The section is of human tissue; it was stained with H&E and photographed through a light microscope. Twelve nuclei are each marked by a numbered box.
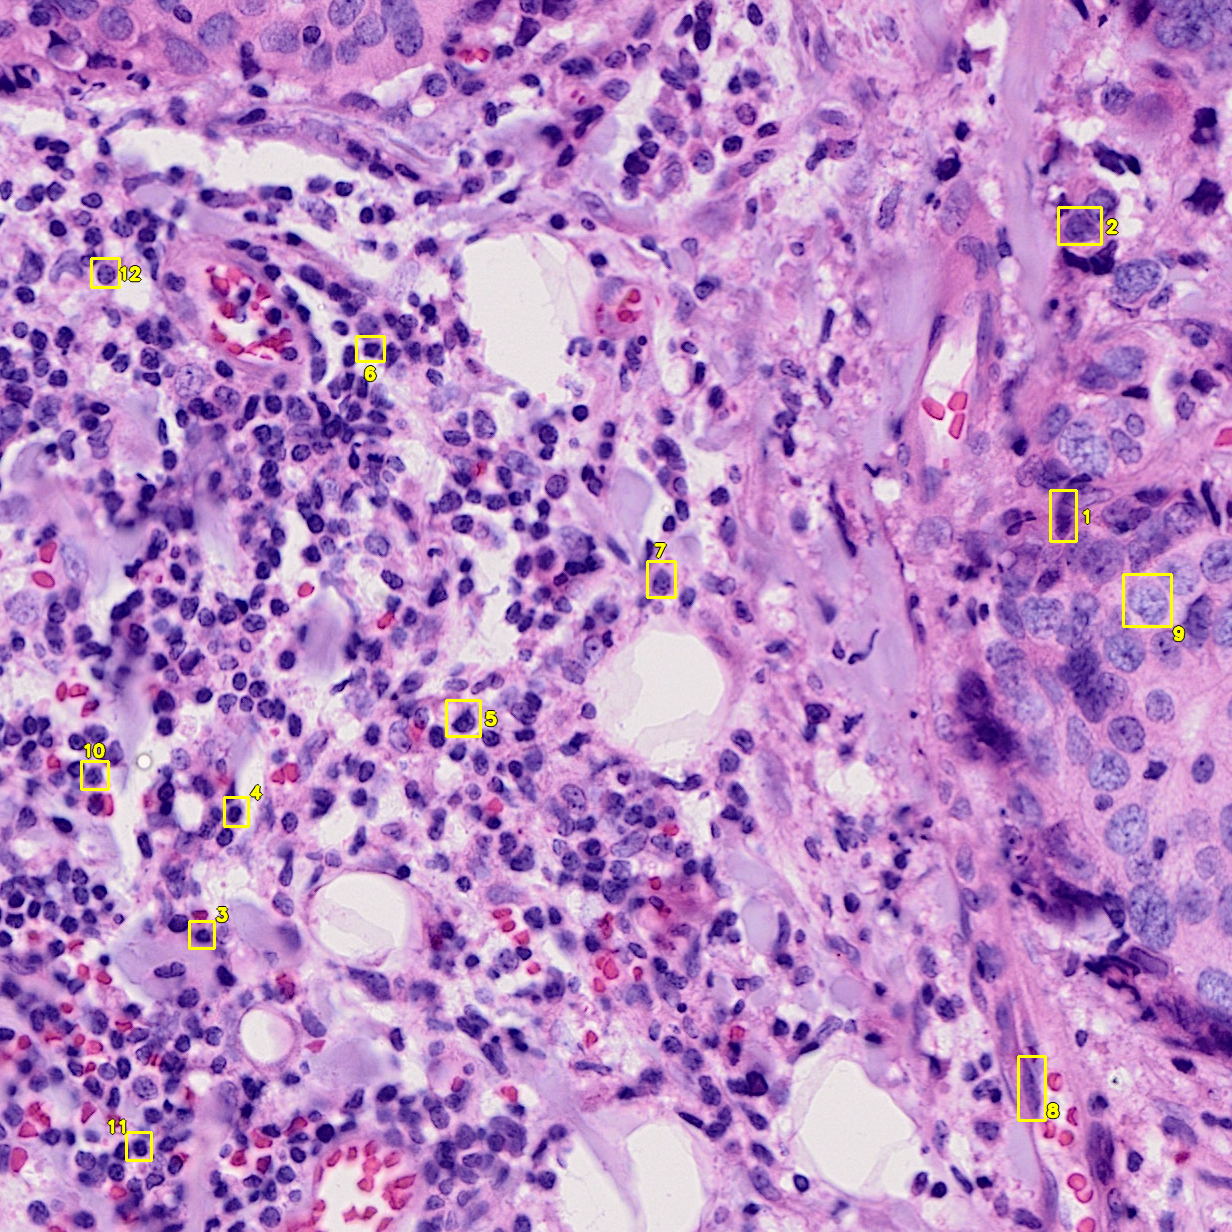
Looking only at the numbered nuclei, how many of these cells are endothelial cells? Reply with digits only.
1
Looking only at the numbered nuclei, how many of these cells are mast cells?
1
